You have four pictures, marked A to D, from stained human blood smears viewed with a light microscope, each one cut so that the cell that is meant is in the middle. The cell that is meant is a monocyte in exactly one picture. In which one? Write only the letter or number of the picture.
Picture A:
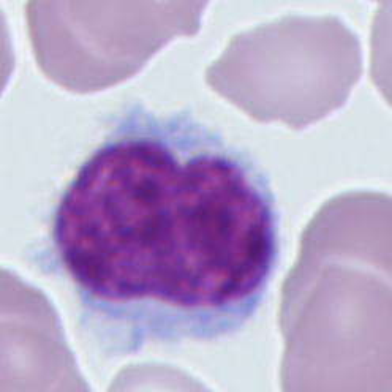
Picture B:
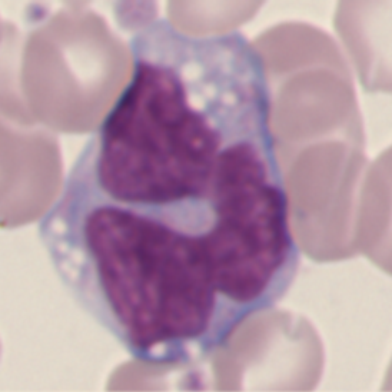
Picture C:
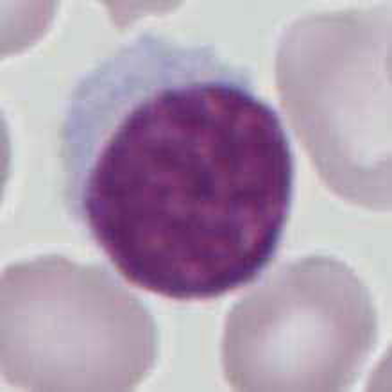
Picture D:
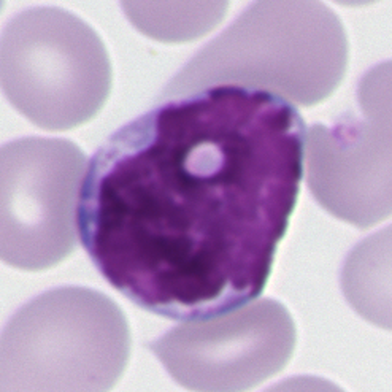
B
